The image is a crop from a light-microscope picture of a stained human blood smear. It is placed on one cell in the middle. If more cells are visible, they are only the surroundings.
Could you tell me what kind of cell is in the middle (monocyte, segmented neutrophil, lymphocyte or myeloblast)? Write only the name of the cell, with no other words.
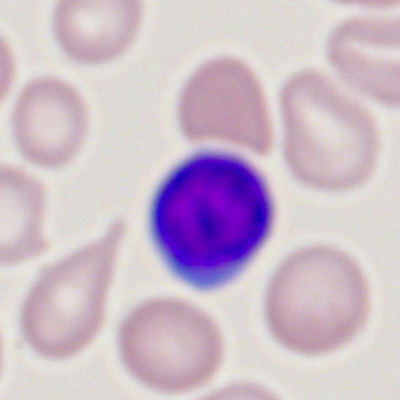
lymphocyte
